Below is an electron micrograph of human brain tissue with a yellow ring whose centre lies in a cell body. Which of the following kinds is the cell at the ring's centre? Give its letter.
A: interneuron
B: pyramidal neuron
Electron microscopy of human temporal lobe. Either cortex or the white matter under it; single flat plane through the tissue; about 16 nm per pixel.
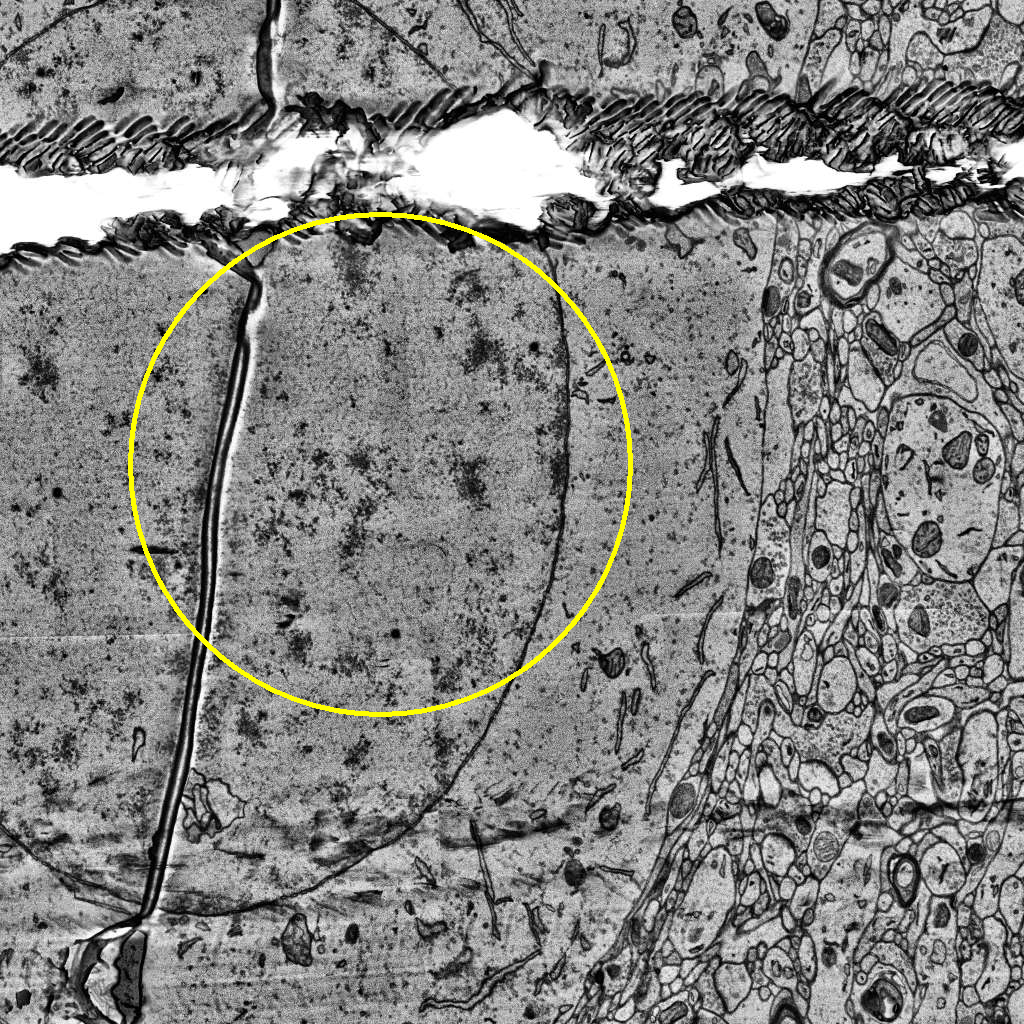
B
